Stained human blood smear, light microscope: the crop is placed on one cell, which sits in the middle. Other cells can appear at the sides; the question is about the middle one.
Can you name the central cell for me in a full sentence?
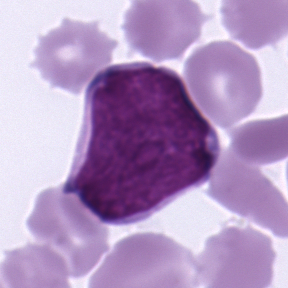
The cell of interest, located centrally, is a myeloblast.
